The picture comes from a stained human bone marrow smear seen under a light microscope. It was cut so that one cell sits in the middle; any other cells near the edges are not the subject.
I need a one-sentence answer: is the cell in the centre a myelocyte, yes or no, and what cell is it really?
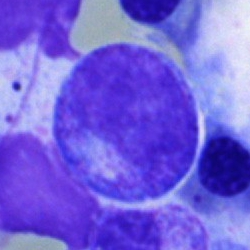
No, the centre of the crop is taken up by a promyelocyte, not a myelocyte.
